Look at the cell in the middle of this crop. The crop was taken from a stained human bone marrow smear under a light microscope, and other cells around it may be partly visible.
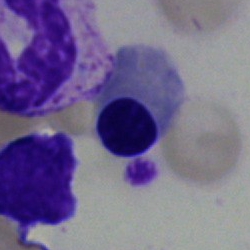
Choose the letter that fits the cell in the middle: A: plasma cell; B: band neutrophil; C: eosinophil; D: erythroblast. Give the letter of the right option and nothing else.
D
